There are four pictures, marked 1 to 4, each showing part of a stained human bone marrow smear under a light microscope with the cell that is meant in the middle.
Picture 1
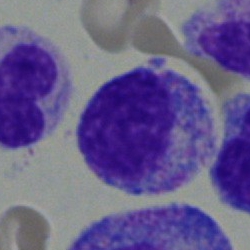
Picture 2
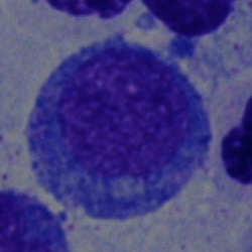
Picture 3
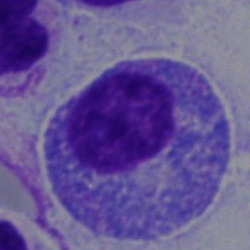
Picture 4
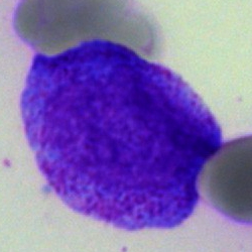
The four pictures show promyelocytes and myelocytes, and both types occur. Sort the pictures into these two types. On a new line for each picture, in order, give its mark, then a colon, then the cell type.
1: myelocyte
2: promyelocyte
3: promyelocyte
4: promyelocyte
